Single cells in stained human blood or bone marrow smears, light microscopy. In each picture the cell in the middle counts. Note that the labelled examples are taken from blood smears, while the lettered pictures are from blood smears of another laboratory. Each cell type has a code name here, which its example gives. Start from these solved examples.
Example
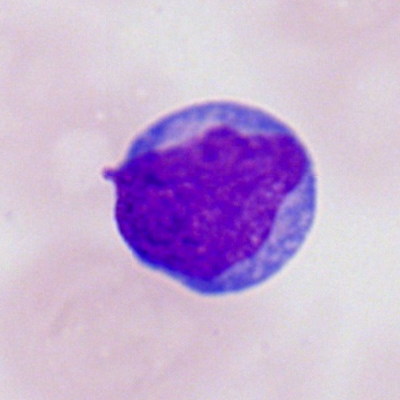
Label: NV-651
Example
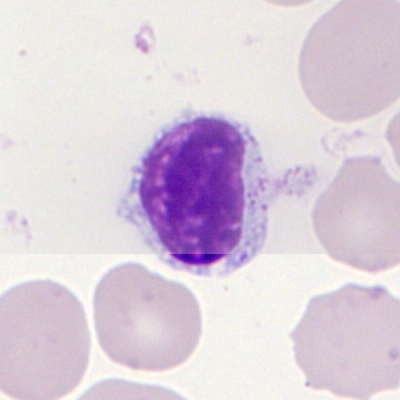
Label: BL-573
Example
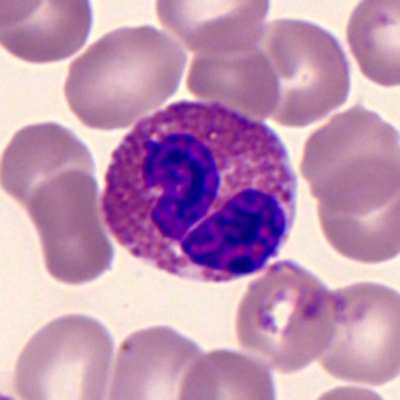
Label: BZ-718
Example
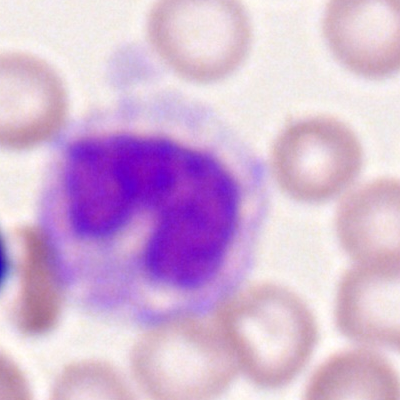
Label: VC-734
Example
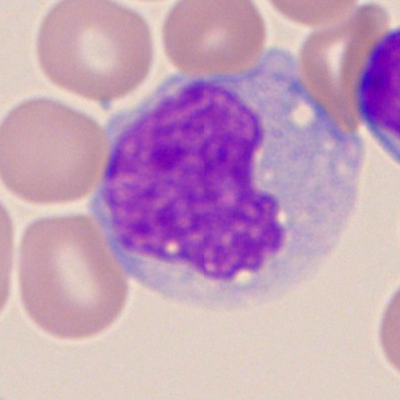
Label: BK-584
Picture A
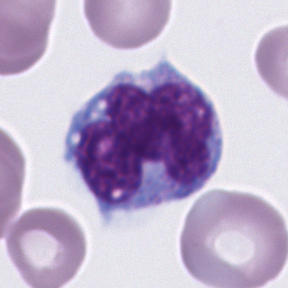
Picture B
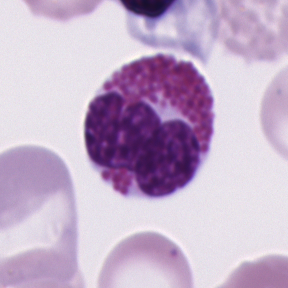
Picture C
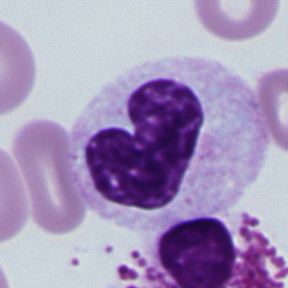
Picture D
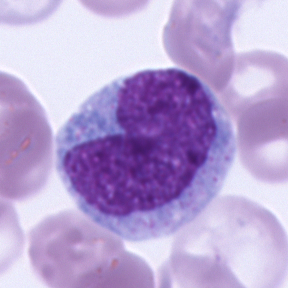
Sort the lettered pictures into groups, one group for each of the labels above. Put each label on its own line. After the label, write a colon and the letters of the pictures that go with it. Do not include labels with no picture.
BZ-718: B
VC-734: C
BK-584: A, D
